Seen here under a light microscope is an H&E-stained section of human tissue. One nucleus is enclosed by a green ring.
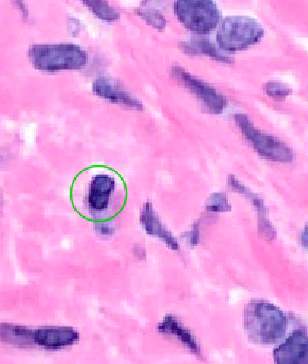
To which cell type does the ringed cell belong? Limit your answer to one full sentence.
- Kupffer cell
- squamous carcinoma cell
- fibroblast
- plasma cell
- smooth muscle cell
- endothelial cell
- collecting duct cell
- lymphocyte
By its classification, the ringed cell is a lymphocyte.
